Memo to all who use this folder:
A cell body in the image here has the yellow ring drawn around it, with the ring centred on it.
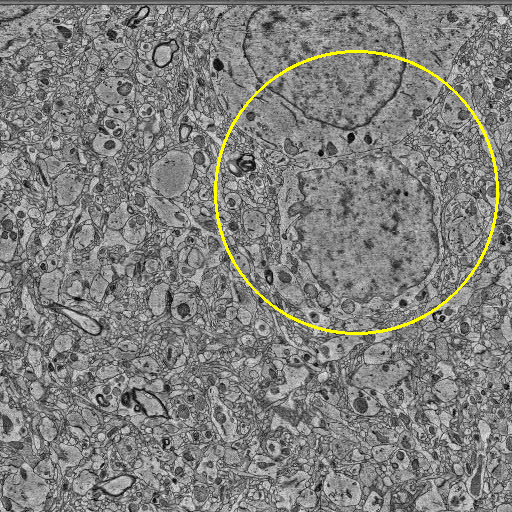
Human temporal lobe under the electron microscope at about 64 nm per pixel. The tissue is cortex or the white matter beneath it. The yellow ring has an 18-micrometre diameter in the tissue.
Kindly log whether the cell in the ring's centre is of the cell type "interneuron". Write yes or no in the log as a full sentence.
Yes, logged: the ring in this image is centred on a cell of that type.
